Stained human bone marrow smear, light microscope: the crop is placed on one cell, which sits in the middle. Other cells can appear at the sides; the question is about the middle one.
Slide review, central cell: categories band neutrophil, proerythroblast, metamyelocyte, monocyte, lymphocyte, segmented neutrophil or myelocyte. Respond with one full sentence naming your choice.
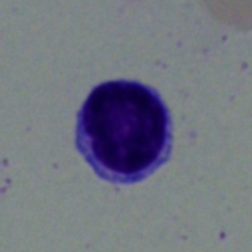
The centrally positioned cell in the crop represents a lymphocyte.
